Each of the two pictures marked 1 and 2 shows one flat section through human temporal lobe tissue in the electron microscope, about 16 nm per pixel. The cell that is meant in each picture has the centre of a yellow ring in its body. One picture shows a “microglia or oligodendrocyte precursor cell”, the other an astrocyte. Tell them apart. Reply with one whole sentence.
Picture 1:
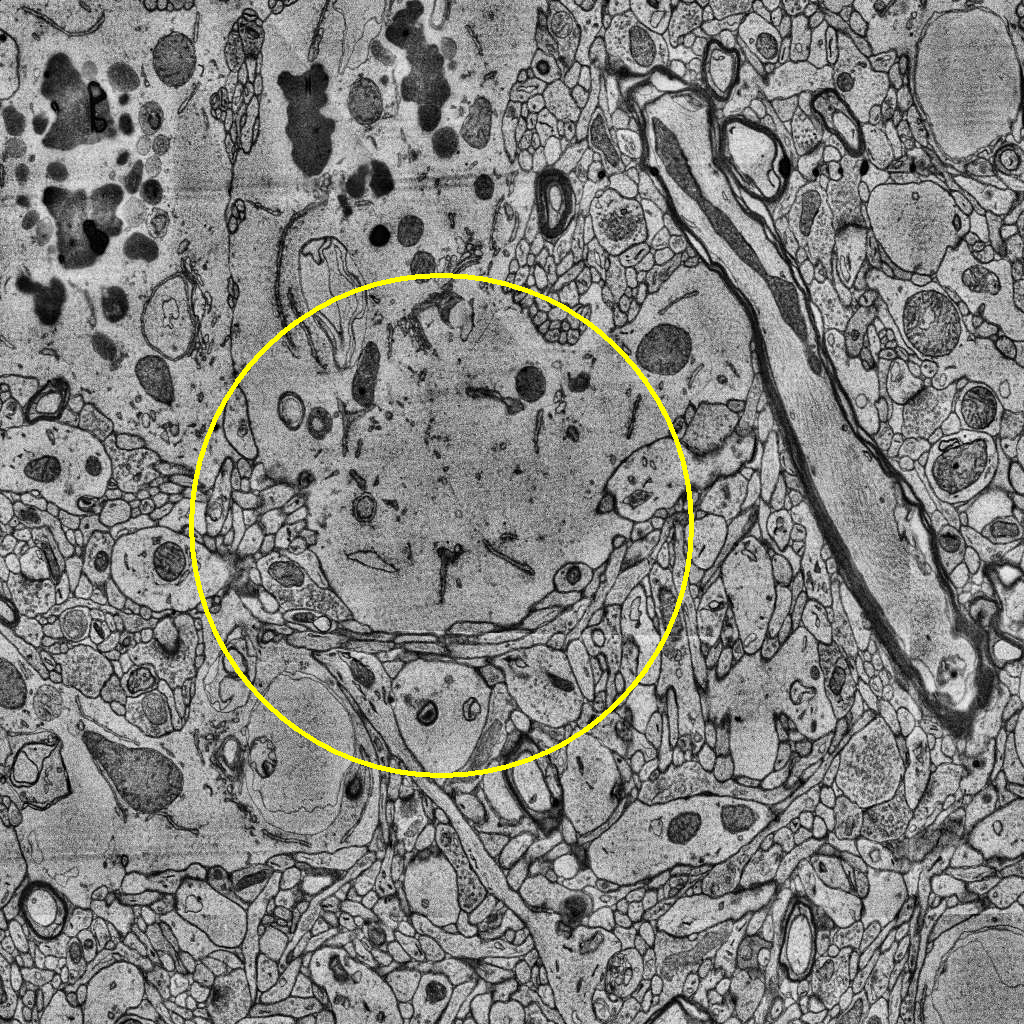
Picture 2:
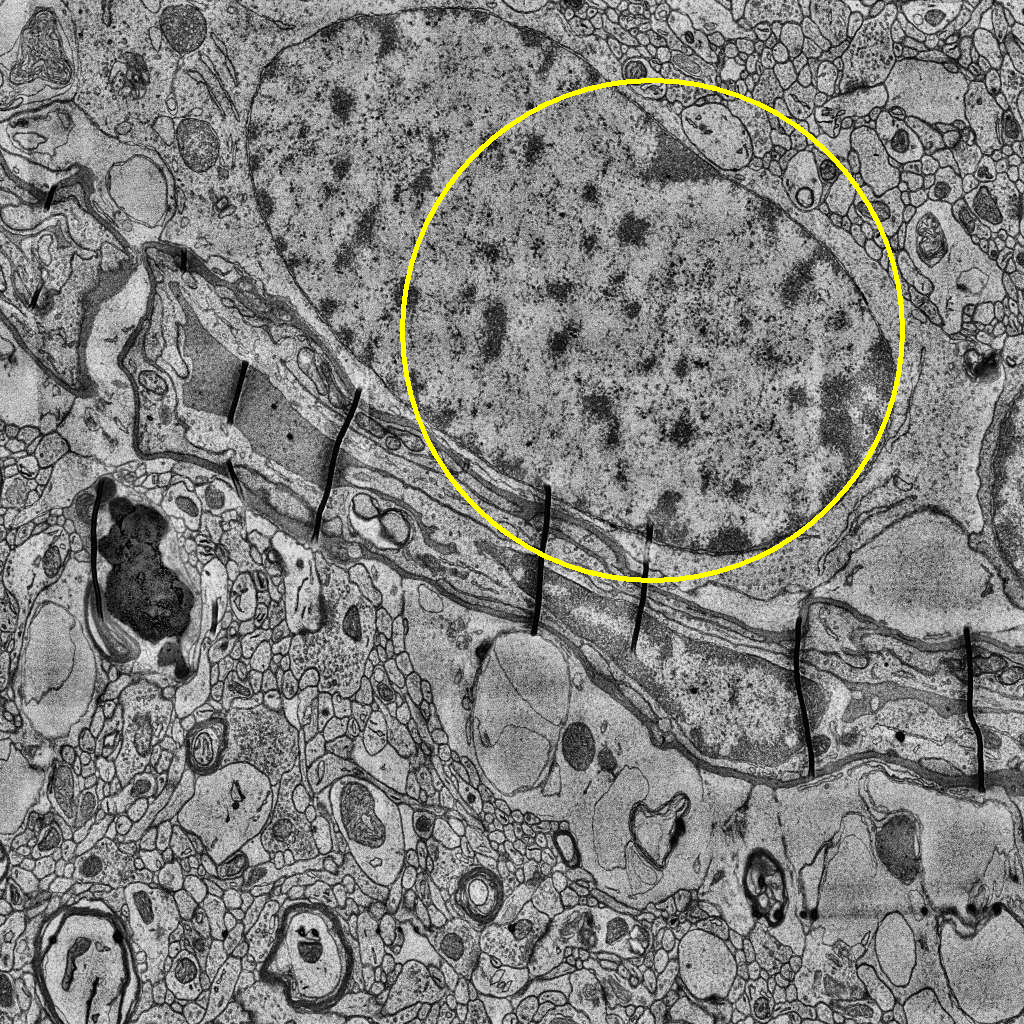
In picture 1 the cell is an astrocyte; in picture 2, a “microglia or oligodendrocyte precursor cell”.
